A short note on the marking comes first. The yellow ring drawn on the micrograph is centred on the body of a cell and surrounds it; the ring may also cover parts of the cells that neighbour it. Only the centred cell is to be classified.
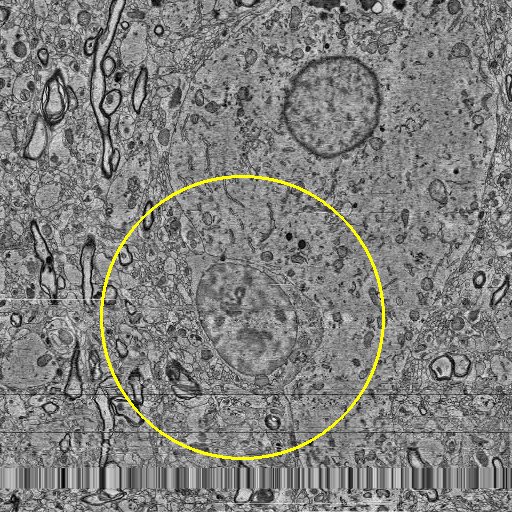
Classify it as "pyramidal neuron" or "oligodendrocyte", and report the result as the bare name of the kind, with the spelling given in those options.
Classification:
oligodendrocyte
